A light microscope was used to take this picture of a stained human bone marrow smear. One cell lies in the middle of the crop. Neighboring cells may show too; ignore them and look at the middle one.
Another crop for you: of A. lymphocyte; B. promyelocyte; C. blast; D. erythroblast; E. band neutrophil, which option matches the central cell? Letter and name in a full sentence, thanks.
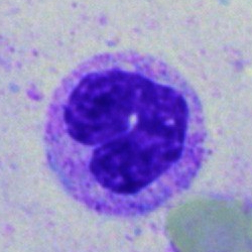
Option E is the keyed answer: the cell in the middle is a band neutrophil.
